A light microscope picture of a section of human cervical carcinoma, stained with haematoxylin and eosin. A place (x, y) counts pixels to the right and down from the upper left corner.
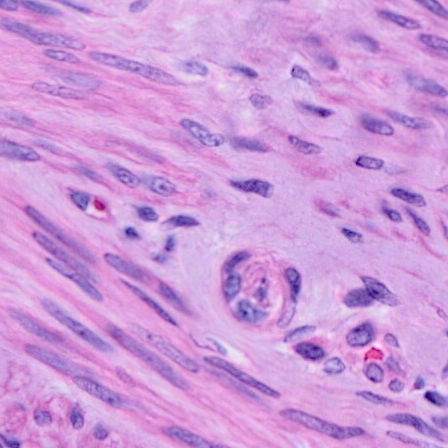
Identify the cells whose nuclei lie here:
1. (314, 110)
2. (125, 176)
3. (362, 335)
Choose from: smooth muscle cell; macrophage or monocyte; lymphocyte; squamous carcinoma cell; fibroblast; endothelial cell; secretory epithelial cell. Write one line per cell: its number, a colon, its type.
1: smooth muscle cell
2: smooth muscle cell
3: endothelial cell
